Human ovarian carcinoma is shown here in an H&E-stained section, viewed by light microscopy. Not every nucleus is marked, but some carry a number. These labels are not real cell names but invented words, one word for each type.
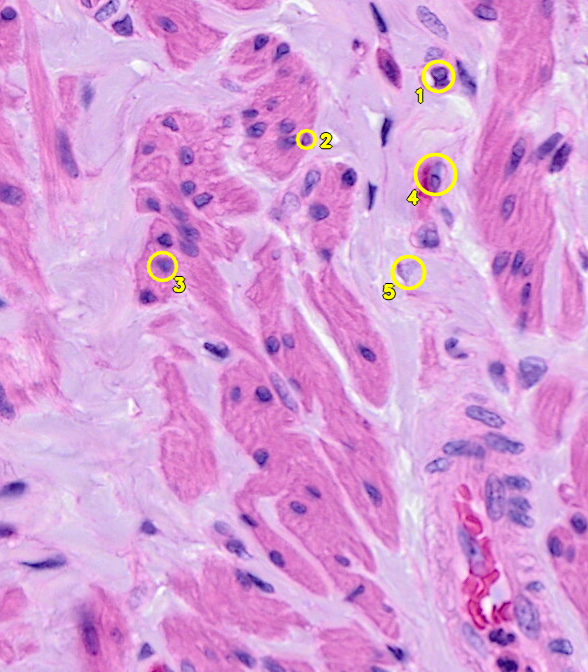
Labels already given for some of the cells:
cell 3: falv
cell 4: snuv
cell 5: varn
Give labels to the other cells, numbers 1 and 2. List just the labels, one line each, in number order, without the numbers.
snuv
falv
